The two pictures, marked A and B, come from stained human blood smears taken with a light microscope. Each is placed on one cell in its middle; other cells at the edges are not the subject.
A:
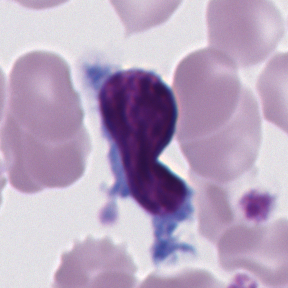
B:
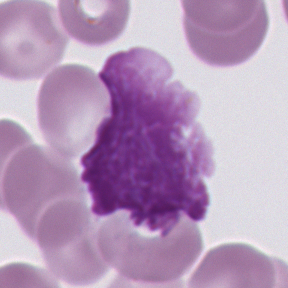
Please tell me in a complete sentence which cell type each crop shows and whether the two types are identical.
No, crop A shows a typical lymphocyte, and the cell in crop B is a smudge cell.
